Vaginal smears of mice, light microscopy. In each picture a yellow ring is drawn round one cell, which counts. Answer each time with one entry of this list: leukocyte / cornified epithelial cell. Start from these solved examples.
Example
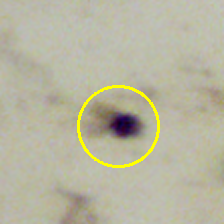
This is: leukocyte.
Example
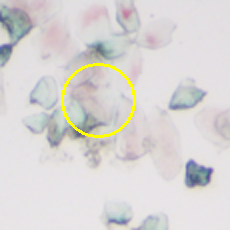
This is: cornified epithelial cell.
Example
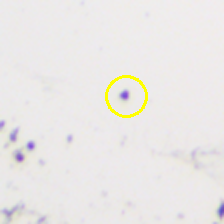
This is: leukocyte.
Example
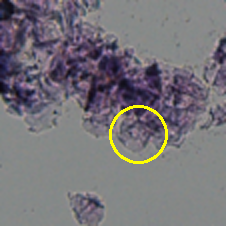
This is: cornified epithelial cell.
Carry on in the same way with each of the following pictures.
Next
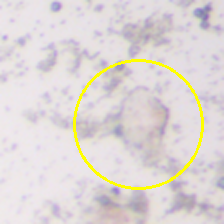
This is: cornified epithelial cell.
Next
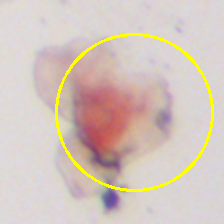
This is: cornified epithelial cell.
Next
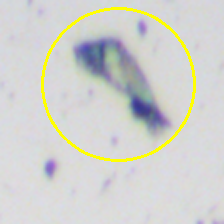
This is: cornified epithelial cell.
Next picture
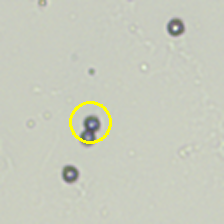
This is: leukocyte.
